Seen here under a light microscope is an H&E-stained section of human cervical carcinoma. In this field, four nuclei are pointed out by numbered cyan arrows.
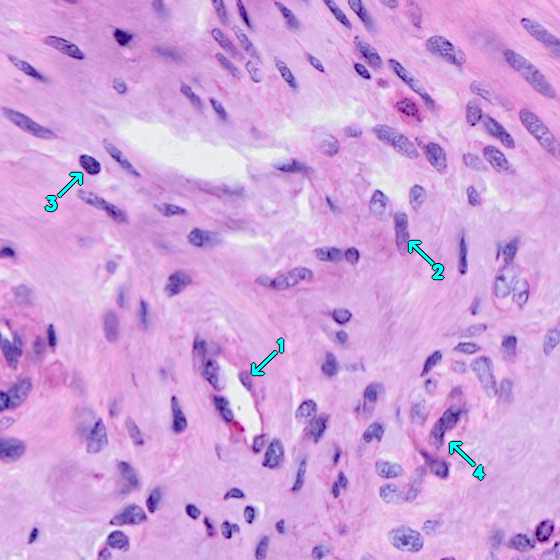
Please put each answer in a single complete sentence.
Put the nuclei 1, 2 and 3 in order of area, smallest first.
By area, going up from the smallest, they rank 1, 3, 2.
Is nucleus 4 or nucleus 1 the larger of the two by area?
The larger nucleus is 4, at roughly 2 times the area of 1.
